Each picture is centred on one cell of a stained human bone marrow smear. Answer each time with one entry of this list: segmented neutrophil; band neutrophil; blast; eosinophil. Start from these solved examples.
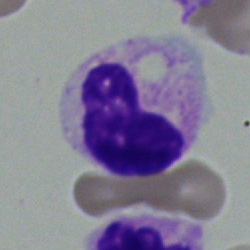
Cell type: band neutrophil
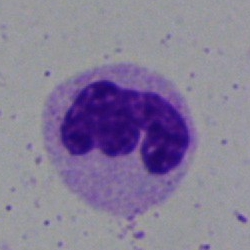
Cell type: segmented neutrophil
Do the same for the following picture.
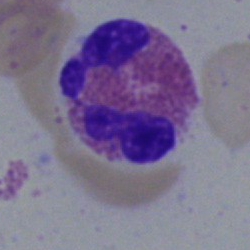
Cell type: eosinophil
